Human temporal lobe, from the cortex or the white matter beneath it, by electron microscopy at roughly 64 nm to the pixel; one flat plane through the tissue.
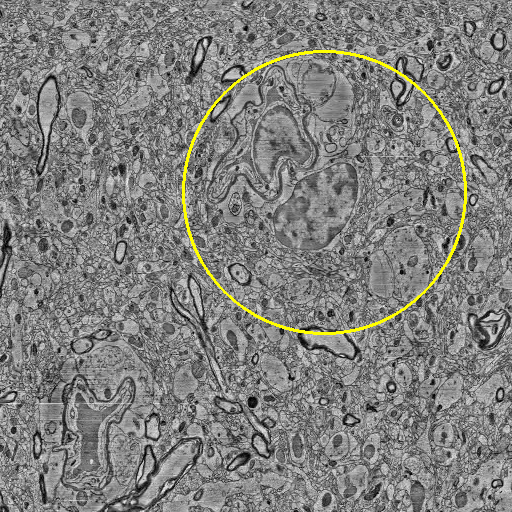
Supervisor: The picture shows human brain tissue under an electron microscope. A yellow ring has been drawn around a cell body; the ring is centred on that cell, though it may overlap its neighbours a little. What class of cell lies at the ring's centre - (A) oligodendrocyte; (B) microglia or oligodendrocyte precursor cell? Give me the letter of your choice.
B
